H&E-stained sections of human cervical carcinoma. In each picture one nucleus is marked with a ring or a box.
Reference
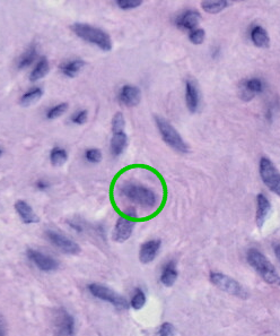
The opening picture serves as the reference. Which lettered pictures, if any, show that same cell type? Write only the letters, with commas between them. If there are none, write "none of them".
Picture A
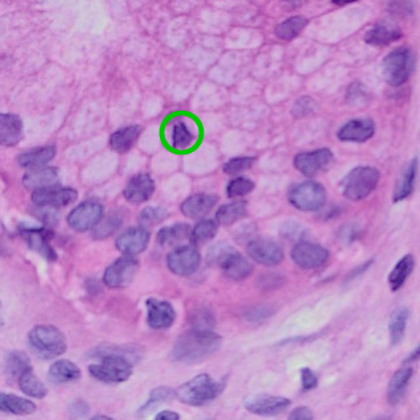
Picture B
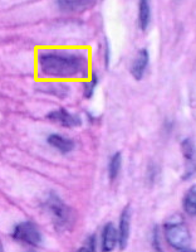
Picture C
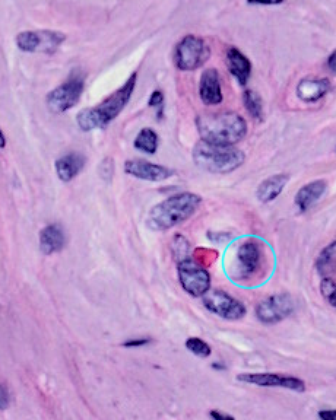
none of them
